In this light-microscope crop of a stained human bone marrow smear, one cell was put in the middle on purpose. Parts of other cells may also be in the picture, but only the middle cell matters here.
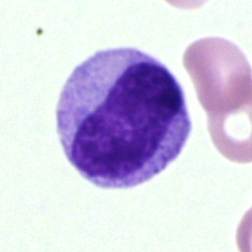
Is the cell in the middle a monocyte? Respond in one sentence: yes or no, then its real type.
No, the cell centered in the crop is a metamyelocyte, not a monocyte.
